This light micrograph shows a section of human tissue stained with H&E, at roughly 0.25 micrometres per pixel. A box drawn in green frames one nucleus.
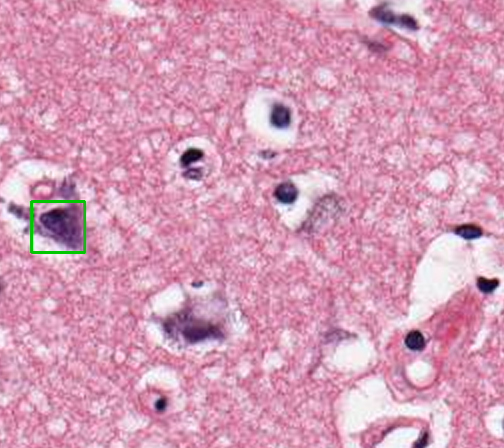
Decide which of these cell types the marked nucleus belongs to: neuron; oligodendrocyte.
neuron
